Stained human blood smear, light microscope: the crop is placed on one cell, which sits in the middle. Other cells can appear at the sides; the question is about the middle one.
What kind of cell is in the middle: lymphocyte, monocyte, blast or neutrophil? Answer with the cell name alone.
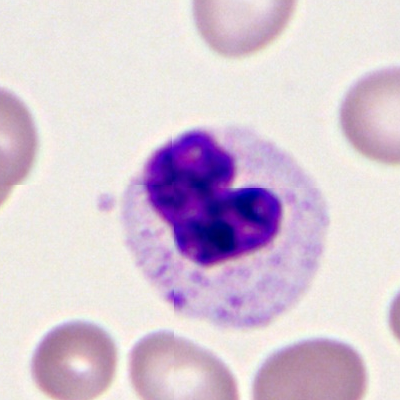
neutrophil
